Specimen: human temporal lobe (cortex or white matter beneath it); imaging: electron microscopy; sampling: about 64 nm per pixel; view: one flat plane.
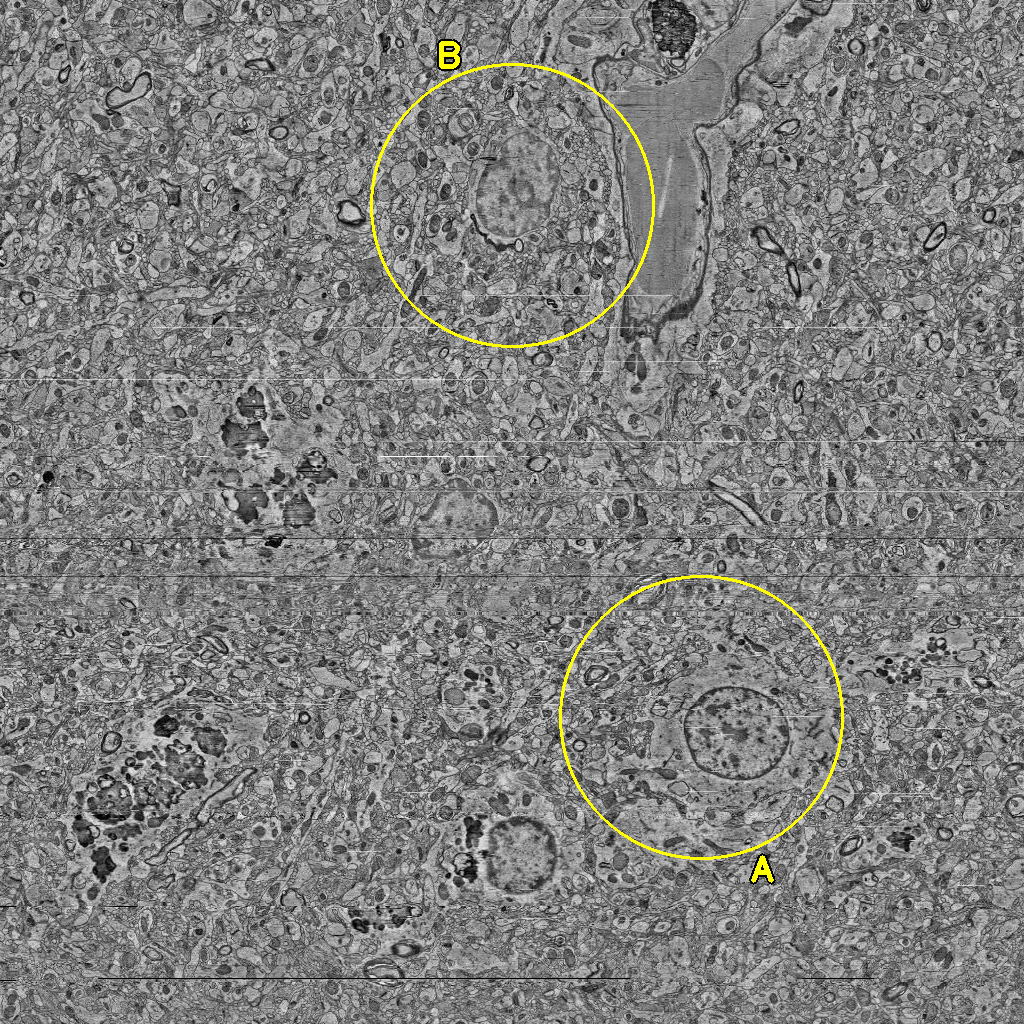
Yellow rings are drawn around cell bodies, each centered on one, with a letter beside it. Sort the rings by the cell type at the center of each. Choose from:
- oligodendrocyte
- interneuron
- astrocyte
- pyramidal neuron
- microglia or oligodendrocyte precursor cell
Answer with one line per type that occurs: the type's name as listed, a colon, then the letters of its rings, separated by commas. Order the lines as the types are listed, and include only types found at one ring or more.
oligodendrocyte: B
astrocyte: A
